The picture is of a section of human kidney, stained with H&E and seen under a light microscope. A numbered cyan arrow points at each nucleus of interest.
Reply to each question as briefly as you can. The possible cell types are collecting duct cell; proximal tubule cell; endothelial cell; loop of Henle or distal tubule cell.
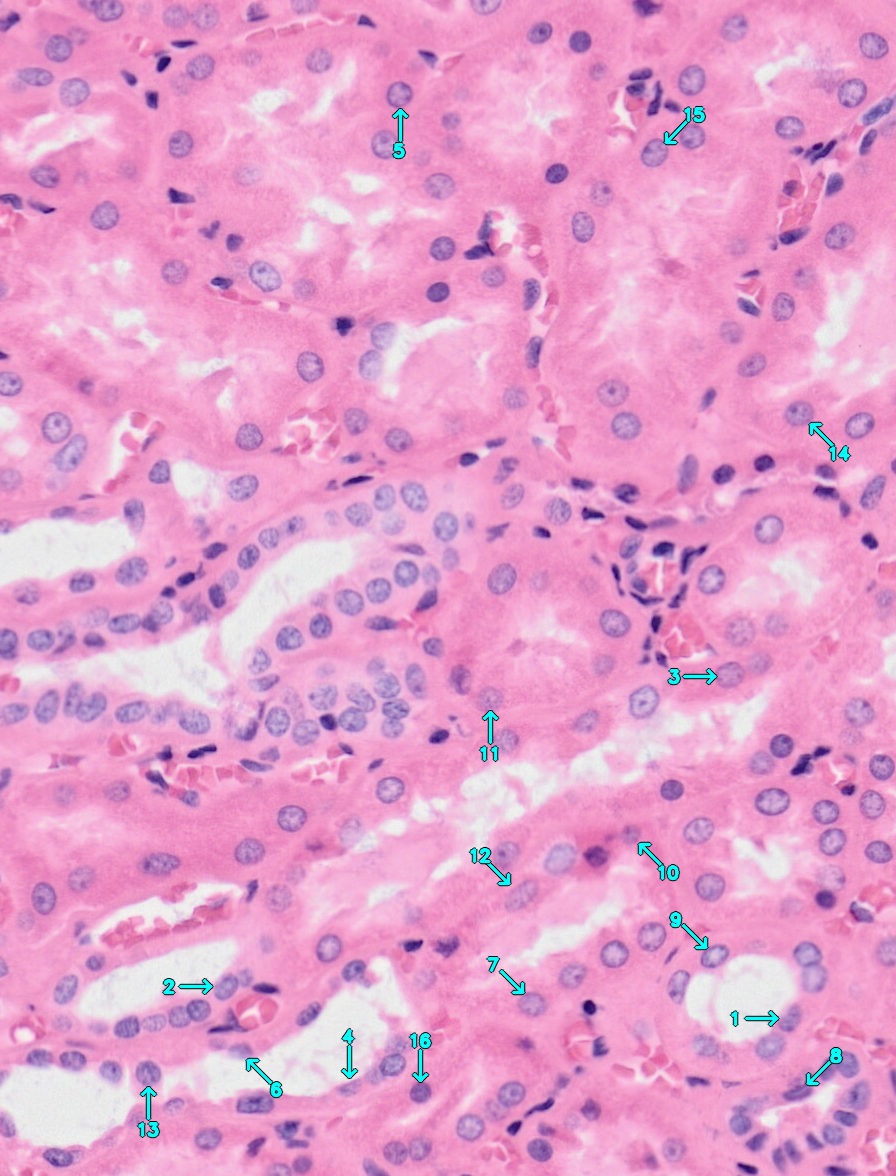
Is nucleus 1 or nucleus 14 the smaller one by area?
1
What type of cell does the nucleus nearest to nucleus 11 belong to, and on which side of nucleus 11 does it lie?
a proximal tubule cell, above and to the left of nucleus 11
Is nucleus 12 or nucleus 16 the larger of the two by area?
12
